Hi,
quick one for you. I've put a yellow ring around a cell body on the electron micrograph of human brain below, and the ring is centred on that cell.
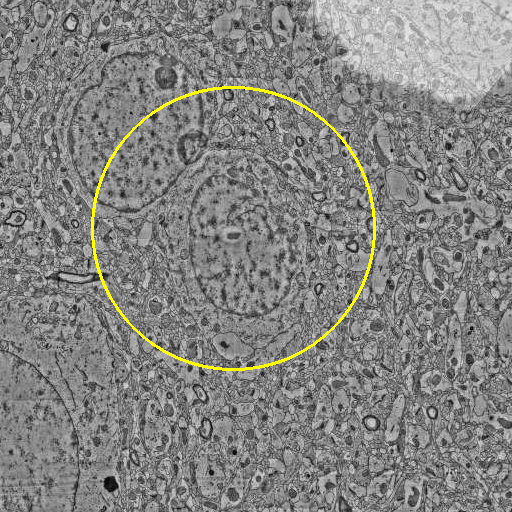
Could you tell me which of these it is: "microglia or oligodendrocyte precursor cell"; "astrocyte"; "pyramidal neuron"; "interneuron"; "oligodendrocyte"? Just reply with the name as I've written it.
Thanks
interneuron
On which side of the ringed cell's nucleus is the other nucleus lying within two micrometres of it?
That other nucleus sits to the upper left of it.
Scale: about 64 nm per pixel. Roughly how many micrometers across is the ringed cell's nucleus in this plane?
Roughly 9 by 7 micrometres in this plane, for the nucleus of the ringed cell.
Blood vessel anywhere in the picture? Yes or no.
No.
